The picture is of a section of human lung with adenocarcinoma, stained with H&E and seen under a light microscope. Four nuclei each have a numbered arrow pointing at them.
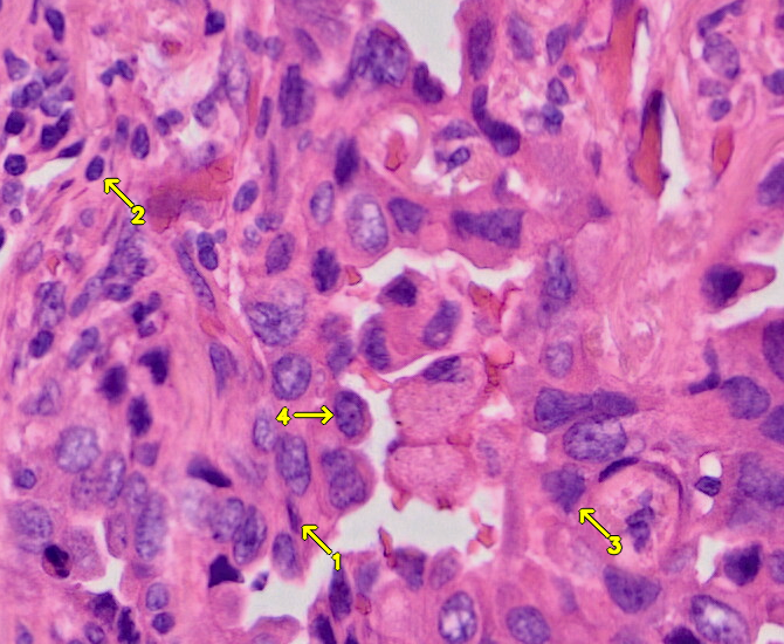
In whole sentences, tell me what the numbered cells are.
Cell 1 is a carcinoma cell, cell 2 is a lymphocyte, cell 3 is a carcinoma cell and cell 4 is a carcinoma cell.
